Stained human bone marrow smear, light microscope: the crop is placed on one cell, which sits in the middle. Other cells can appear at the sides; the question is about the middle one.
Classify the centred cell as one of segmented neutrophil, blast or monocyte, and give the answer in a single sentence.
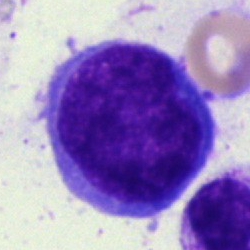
Centrally within this crop lies a blast.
